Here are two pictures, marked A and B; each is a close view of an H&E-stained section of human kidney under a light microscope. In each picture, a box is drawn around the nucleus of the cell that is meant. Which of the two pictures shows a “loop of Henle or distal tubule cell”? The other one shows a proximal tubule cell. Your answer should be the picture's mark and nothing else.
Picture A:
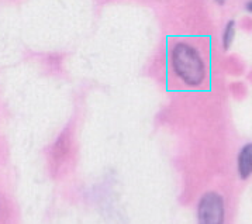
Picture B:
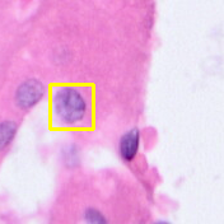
B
